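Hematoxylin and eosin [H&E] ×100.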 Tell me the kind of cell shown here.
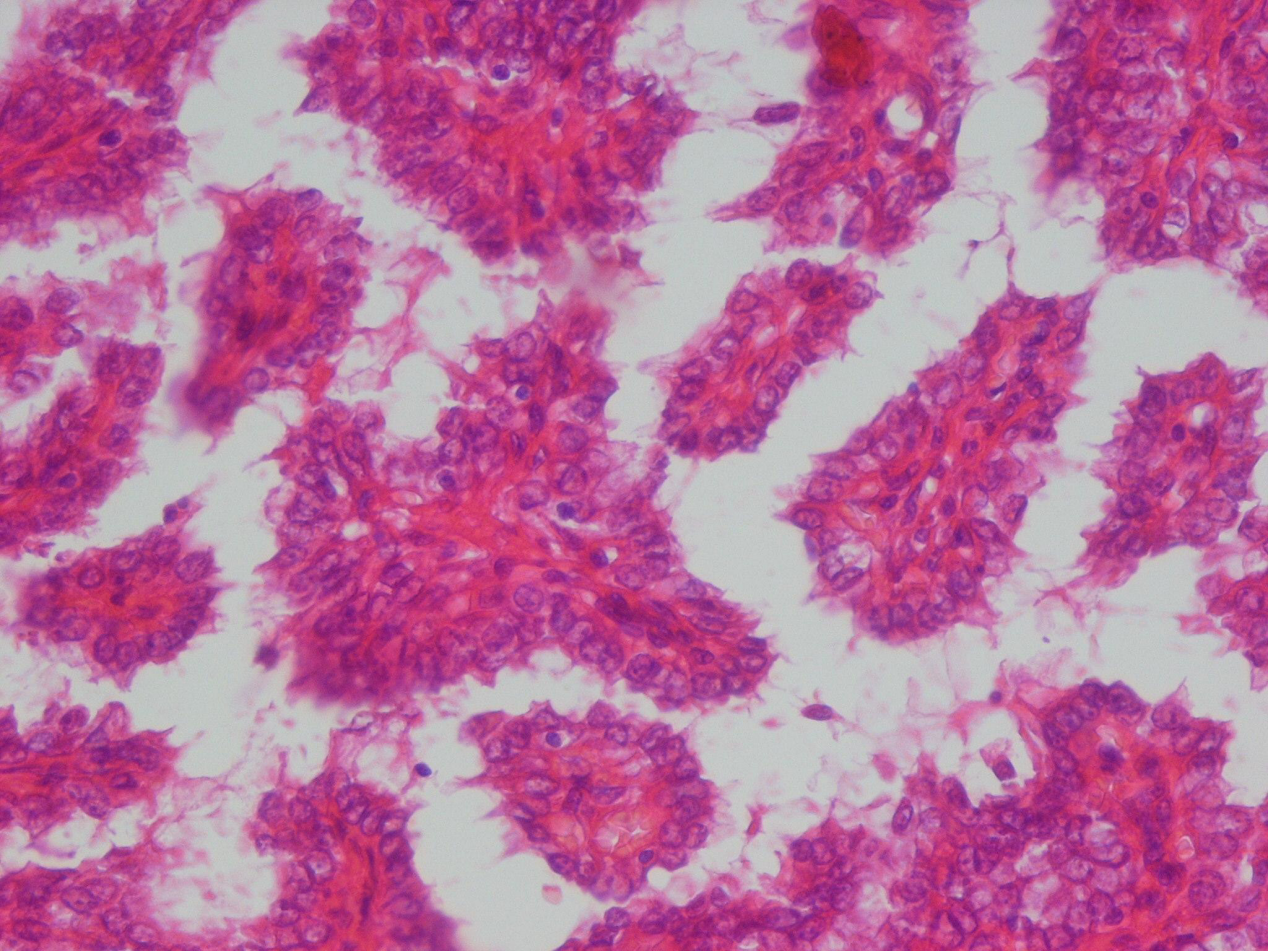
cuboidal to columnar cells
